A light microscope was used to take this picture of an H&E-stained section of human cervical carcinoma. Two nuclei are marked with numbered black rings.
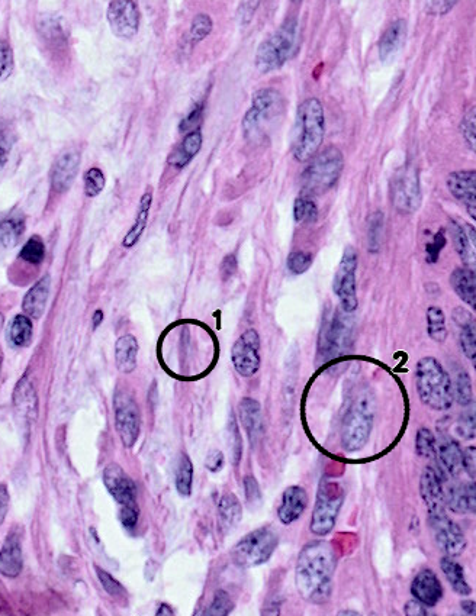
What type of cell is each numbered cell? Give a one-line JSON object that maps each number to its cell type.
{"1": "fibroblast", "2": "endothelial cell"}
